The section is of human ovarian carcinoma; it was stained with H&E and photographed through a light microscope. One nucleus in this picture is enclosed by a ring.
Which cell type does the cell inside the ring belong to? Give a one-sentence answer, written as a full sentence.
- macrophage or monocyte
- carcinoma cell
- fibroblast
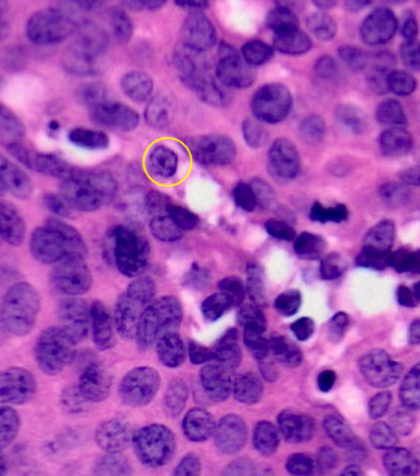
As classified here, the cell inside the ring is a macrophage or monocyte.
